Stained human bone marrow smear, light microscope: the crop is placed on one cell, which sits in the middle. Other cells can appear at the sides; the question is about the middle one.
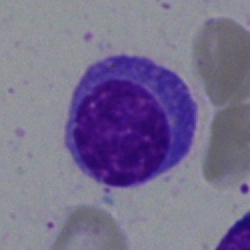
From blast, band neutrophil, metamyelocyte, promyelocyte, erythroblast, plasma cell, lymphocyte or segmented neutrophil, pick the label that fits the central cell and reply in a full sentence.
Present in the middle of the crop is a plasma cell.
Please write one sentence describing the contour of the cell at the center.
Its surface contour is regular and smooth, without any protrusions.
